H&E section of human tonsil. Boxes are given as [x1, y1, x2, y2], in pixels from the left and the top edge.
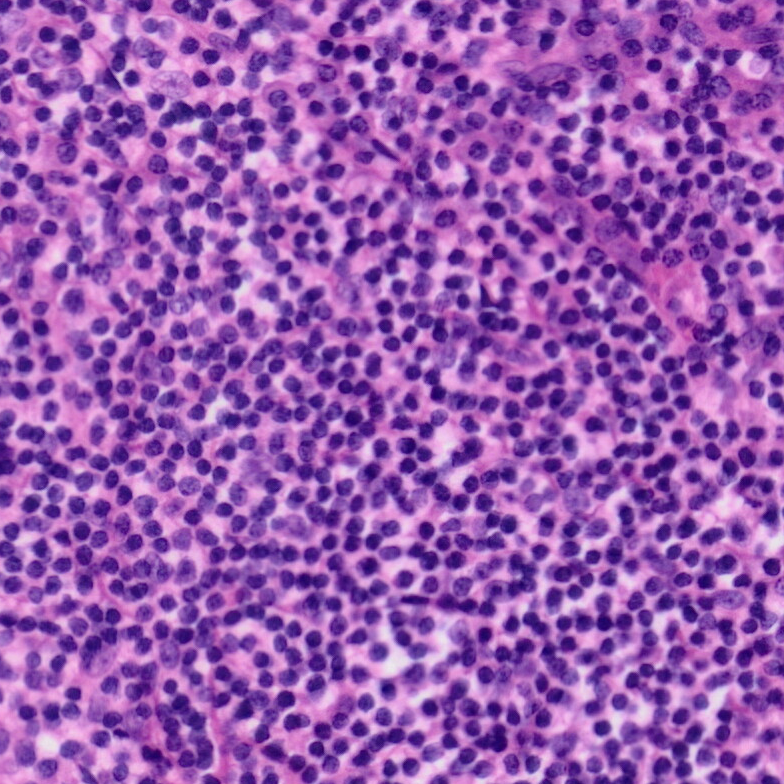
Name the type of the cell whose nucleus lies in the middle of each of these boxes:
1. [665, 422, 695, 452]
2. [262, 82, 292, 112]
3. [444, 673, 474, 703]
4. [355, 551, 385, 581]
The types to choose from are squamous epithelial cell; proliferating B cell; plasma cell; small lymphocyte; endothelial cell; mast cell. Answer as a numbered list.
1. small lymphocyte
2. plasma cell
3. small lymphocyte
4. small lymphocyte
